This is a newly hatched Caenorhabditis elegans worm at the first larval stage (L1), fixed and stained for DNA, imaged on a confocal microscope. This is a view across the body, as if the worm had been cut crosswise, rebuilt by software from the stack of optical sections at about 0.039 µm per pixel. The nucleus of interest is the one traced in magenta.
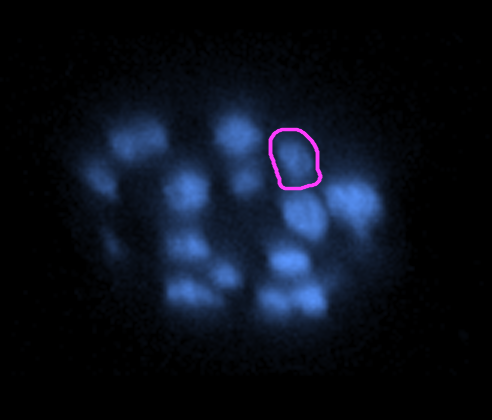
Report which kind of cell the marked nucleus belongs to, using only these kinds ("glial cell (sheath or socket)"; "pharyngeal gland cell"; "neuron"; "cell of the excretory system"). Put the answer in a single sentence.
It belongs to a cell of the excretory system.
